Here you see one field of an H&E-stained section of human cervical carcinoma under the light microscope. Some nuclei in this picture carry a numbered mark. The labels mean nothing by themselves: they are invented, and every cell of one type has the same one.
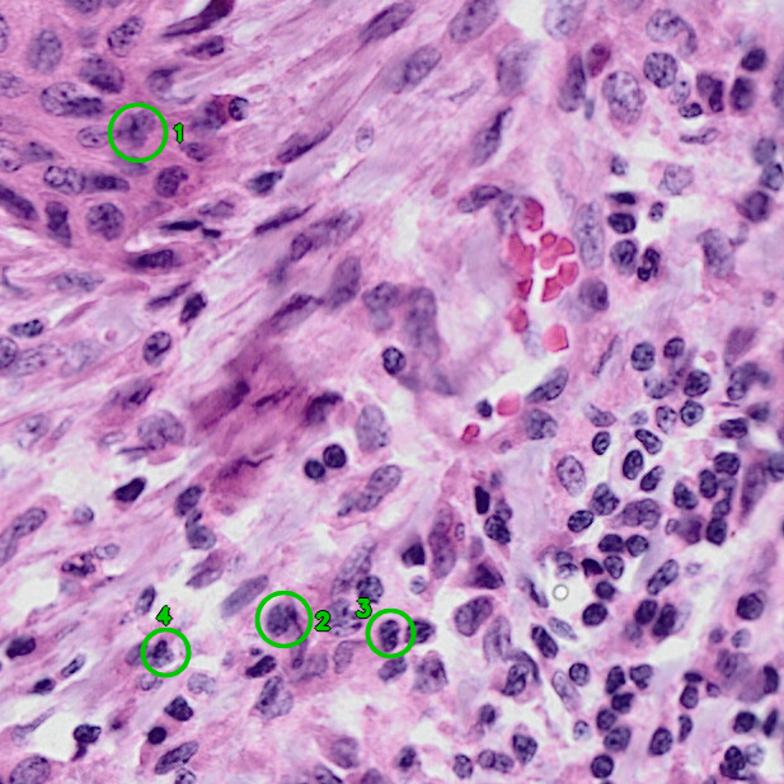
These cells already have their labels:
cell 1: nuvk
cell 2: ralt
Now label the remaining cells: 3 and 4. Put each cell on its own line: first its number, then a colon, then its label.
3: ralt
4: ralt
